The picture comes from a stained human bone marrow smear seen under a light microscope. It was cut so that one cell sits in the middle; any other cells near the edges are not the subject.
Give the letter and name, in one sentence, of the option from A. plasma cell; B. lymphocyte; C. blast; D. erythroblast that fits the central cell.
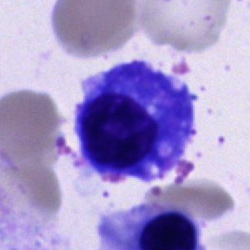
Option A correctly names the cell in the middle as a plasma cell.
